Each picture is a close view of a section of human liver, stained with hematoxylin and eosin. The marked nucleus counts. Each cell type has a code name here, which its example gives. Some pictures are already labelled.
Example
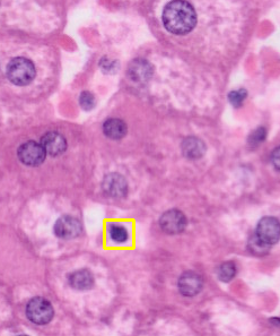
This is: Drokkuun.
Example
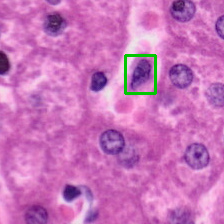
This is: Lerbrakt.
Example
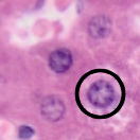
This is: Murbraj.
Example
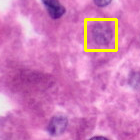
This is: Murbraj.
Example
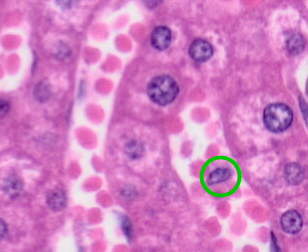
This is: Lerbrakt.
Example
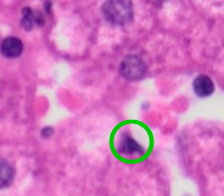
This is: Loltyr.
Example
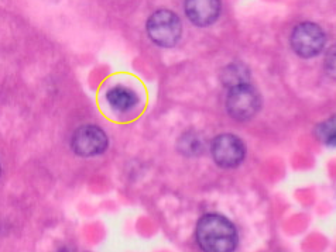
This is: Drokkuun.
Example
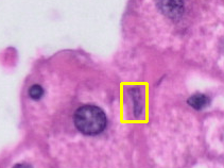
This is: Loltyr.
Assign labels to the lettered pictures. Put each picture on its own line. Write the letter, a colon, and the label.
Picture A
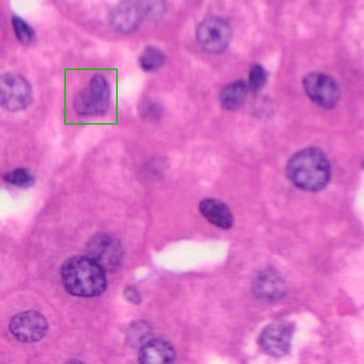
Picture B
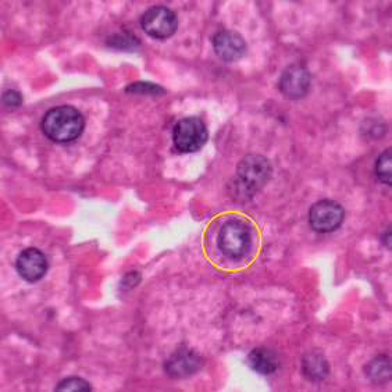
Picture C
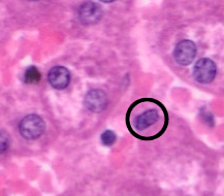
A: Lerbrakt.
B: Murbraj.
C: Loltyr.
